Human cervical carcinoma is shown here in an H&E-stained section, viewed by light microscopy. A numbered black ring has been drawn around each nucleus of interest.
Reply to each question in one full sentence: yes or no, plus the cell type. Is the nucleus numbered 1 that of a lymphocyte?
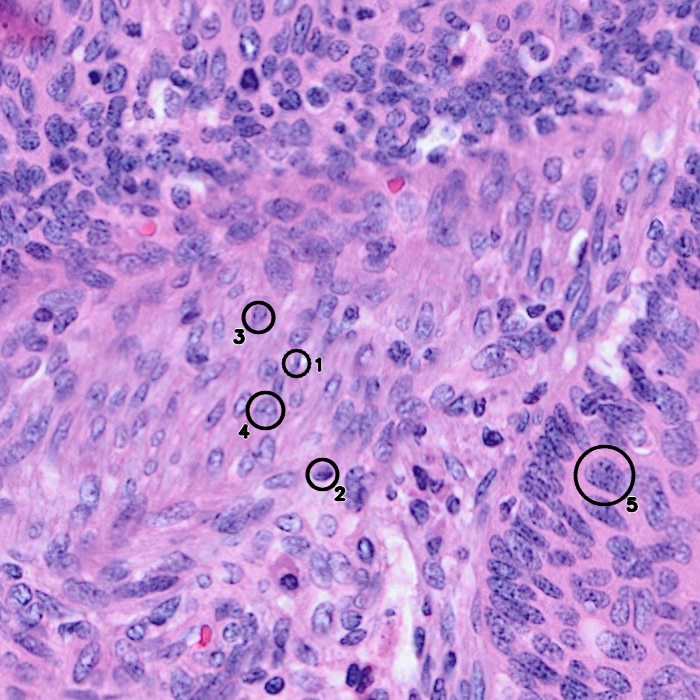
No, the correct answer for cell 1 is a smooth muscle cell, not a lymphocyte.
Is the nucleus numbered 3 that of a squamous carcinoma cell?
No, that is wrong: cell 3 is a smooth muscle cell, and not a squamous carcinoma cell.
